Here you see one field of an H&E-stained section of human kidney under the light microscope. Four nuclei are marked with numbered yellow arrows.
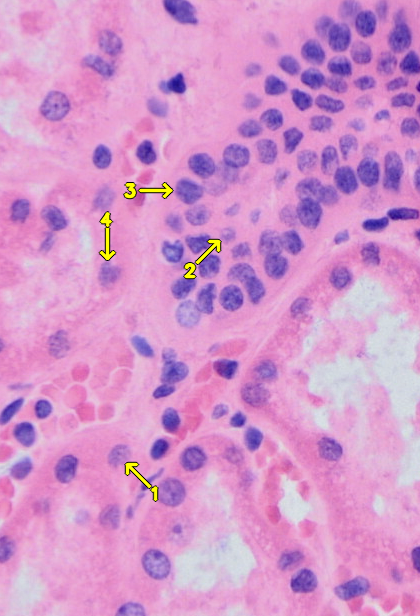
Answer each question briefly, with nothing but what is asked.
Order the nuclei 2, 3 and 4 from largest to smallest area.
3, 4, 2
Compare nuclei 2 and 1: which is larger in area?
1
